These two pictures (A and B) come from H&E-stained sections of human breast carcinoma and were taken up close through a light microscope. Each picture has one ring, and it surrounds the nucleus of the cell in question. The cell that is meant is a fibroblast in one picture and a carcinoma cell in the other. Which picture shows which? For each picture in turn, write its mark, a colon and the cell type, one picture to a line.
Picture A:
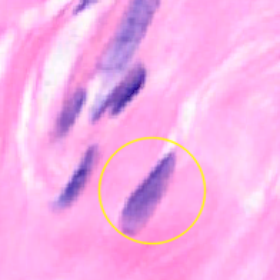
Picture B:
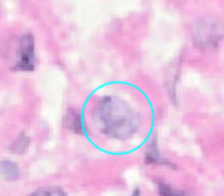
A: fibroblast
B: carcinoma cell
